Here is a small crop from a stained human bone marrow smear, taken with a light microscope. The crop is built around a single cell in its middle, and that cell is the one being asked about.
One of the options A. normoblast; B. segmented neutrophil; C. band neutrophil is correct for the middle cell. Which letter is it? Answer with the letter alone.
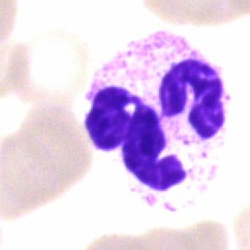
B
